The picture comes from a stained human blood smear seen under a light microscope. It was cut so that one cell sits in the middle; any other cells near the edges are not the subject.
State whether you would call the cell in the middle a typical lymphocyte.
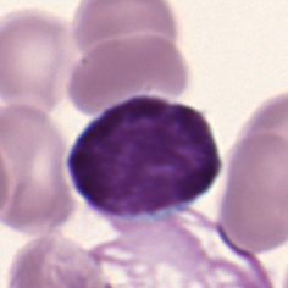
yes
